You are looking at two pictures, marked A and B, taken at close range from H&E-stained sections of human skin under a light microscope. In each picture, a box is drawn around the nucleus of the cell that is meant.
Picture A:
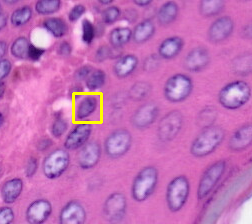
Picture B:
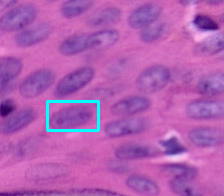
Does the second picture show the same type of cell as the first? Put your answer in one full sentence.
No; the cell in picture A is a basal keratinocyte, while the one in picture B is a suprabasal keratinocyte.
